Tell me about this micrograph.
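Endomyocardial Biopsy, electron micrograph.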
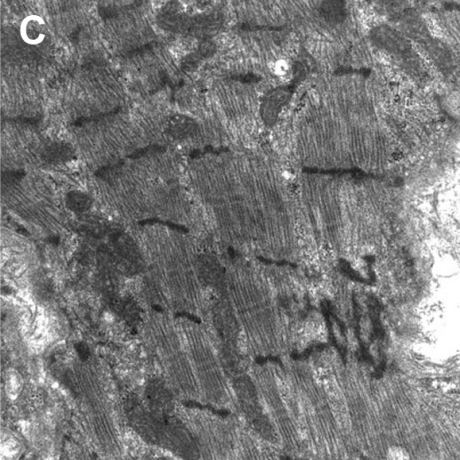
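Heart muscle cells are seen at the ultrastructural level, packed with diagonally running myofibrils and fewer, scattered mitochondria. Many of the dark transverse Z-discs are no longer thin straight lines but are broadened, zigzag and smeared into the adjacent sarcomeres, most markedly toward the lower right. The edge of the cell at the right is bordered by pale, disorganized material.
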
